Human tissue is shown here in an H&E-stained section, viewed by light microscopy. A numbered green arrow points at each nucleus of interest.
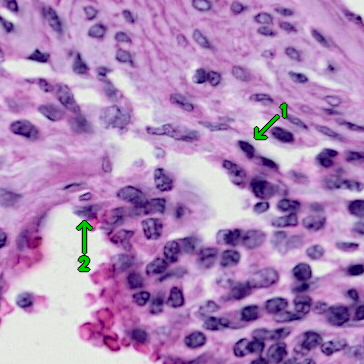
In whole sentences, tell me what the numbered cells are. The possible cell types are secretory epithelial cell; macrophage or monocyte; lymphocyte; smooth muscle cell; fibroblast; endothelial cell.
Cell 1 is a lymphocyte. Cell 2 is an endothelial cell.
